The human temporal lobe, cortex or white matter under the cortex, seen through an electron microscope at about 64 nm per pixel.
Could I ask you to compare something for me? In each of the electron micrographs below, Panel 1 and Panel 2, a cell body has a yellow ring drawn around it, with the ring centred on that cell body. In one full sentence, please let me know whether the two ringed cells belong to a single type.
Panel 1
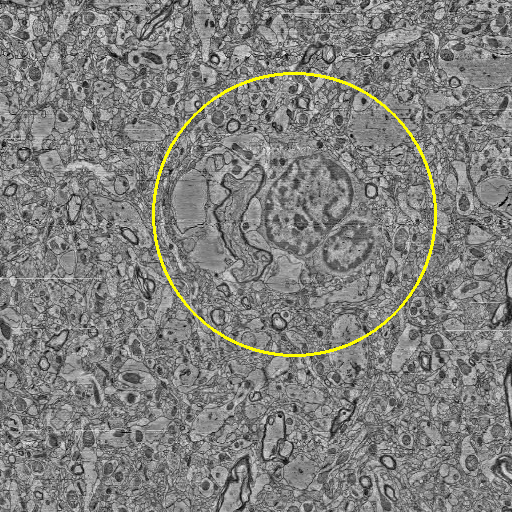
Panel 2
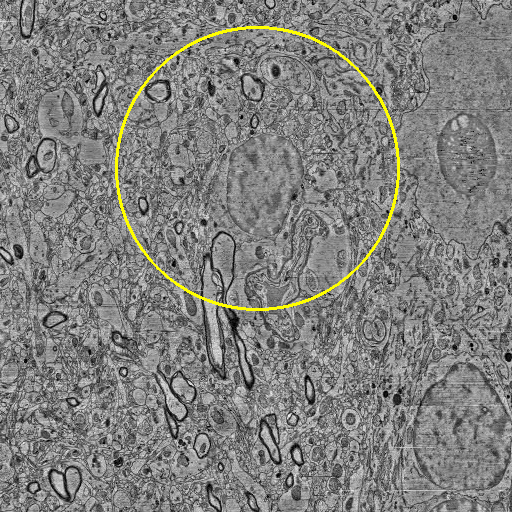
Yes, the two cells at the centres of the rings are of one type.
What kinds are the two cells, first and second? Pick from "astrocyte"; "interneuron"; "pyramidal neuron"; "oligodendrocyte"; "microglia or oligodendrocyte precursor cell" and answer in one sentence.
Each one of the two ringed cells is an oligodendrocyte.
